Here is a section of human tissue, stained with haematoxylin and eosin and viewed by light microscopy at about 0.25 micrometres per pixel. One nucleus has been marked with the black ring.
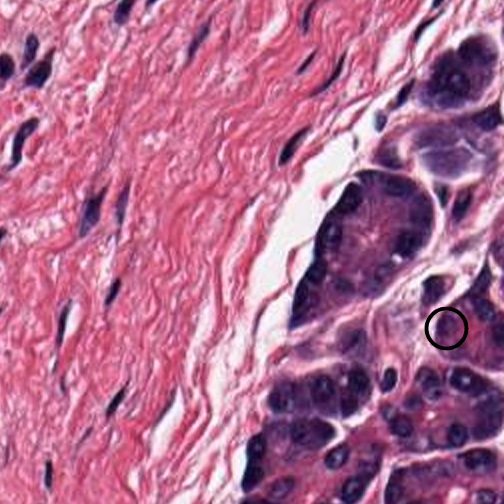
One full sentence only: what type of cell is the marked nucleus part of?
Singled out by the mark is the nucleus of a pancreatic acinar cell.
